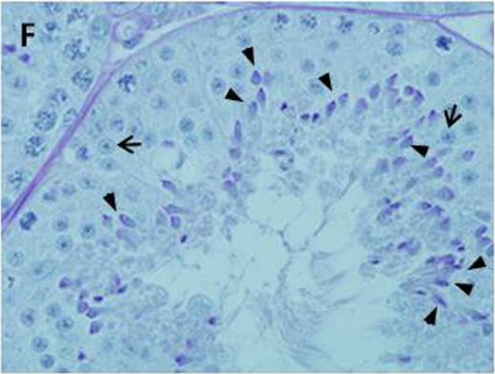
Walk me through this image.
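A seminiferous tubule with spermatocytes near the wall and round spermatids in the middle layers. The elongated spermatids toward the lumen have dark, condensed heads that are irregular and misshapen rather than uniformly slender, and they are loosely arranged around a lumen with sparse tail material.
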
